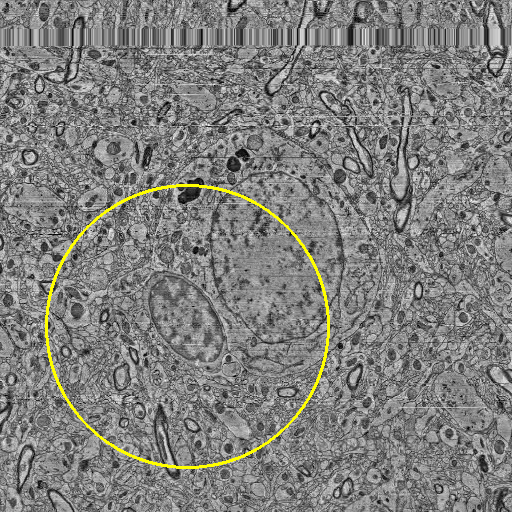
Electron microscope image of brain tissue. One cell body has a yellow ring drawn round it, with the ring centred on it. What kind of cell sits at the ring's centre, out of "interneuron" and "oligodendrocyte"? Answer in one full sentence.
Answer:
It is an oligodendrocyte whose cell body sits at the centre of the yellow ring.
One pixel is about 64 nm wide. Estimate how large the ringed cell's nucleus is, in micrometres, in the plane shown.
At approximately 6 by 4 micrometres, the nucleus is clearly longer than it is wide in this plane.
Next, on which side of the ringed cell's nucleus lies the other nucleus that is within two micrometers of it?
The other nucleus is situated to the upper right of it.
